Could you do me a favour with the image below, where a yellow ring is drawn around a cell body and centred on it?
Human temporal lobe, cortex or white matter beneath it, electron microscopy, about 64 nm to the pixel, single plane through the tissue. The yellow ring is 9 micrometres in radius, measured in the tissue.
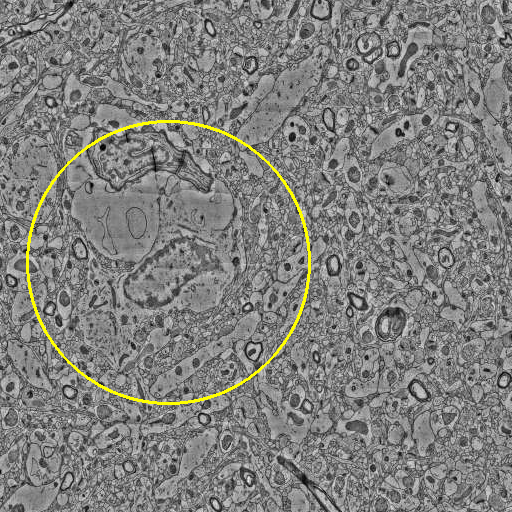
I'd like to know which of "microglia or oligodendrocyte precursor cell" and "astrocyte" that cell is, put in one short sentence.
The cell at the ring's centre is a microglial cell or oligodendrocyte precursor cell.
